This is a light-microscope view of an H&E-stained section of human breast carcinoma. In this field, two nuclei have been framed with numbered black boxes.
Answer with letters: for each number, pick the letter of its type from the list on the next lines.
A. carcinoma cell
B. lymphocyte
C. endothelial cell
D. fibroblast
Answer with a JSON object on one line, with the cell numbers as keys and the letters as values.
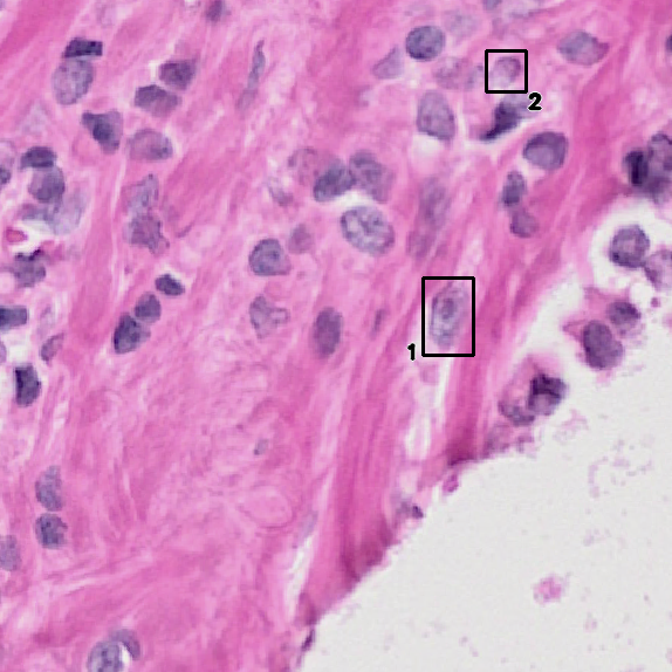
{"1": "D", "2": "A"}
